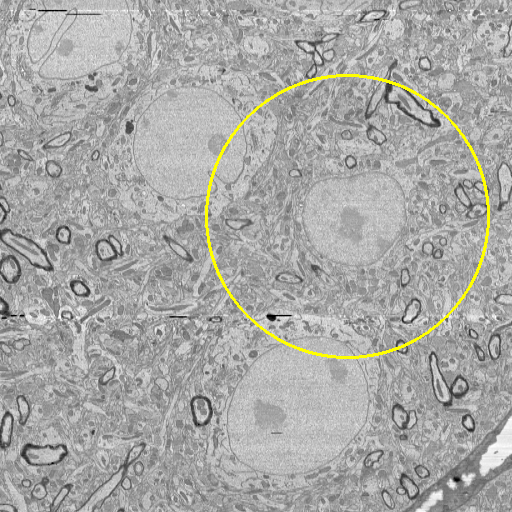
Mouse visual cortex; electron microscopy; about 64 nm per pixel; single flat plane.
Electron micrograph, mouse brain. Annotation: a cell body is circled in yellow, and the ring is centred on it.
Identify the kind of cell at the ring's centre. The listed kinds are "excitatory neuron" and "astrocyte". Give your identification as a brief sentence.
The circled cell body is that of an astrocyte.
